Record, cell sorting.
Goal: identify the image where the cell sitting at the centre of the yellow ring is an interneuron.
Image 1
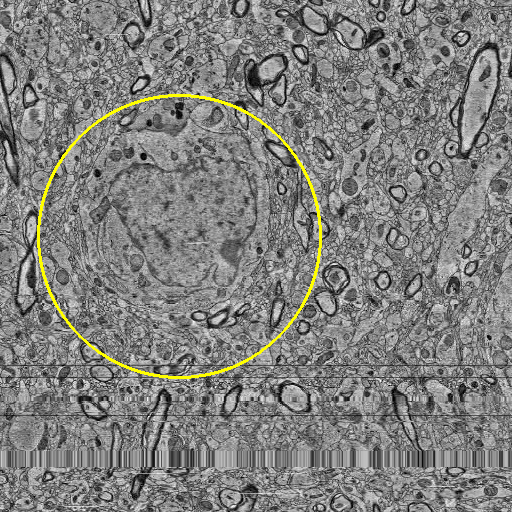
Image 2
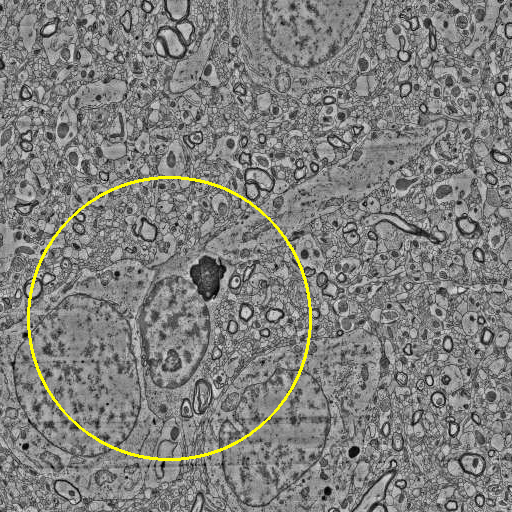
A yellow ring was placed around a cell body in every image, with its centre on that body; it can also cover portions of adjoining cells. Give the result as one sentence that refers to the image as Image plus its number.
Image 1 shows the requested cell sitting right at the centre of its ring.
